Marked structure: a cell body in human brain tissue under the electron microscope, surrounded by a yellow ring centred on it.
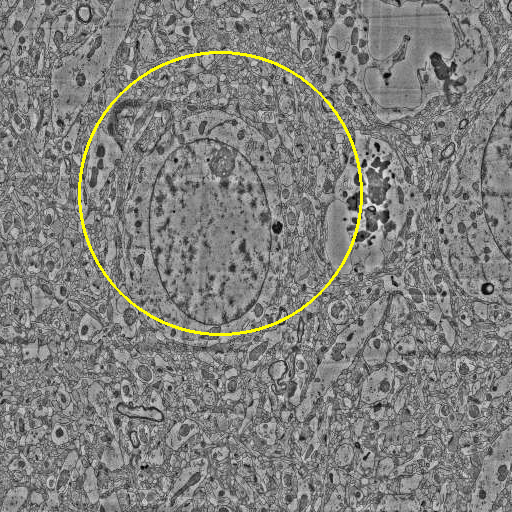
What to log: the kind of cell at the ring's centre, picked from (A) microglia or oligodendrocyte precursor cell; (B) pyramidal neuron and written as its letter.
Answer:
B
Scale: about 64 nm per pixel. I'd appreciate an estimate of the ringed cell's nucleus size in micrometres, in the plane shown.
The nucleus of the ringed cell is approximately 12 by 8 micrometres in this plane.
